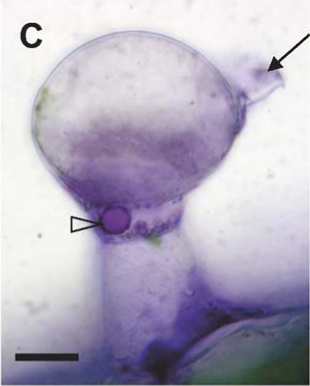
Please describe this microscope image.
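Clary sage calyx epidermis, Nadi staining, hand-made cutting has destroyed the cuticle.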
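The lower part of the head stains more strongly purple than the upper part. At the junction of head and stalk there is a small, sharply outlined, dark purple round droplet. A thin torn membrane sticks out at the upper right edge of the head. The base of the stalk merges with darker-stained tissue below.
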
